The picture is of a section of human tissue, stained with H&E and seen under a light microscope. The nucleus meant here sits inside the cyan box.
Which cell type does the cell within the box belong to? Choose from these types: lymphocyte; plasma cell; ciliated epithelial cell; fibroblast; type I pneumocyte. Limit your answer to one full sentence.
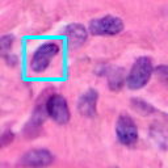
The correct response here is that the cell within the box is a lymphocyte.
